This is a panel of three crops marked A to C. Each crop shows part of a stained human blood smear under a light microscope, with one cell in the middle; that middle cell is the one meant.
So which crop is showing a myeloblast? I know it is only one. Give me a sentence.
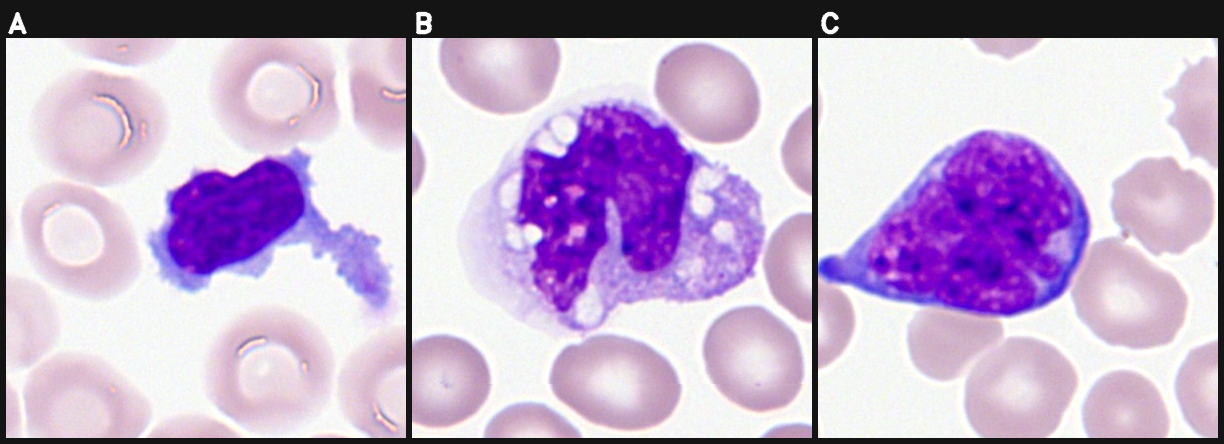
It is crop C that shows a myeloblast.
